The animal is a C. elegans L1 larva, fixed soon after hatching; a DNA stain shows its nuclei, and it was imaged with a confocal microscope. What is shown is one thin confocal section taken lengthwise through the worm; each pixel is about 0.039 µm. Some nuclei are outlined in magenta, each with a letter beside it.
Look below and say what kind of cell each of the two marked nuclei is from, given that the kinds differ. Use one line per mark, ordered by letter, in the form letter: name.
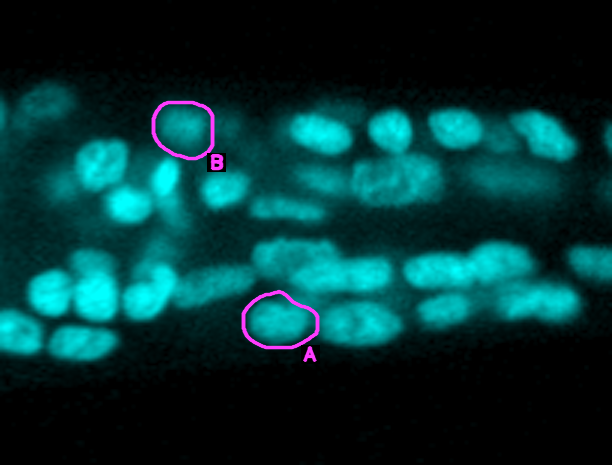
A: hypodermal cell (hyp)
B: body wall muscle cell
